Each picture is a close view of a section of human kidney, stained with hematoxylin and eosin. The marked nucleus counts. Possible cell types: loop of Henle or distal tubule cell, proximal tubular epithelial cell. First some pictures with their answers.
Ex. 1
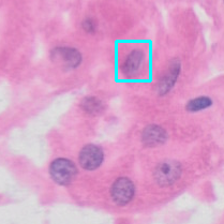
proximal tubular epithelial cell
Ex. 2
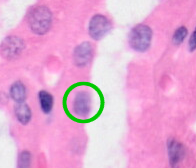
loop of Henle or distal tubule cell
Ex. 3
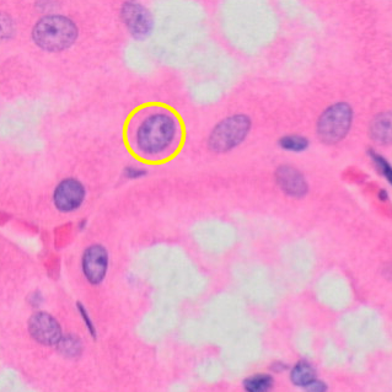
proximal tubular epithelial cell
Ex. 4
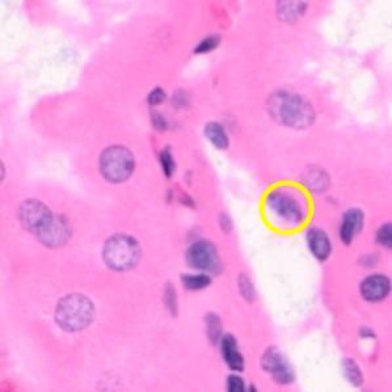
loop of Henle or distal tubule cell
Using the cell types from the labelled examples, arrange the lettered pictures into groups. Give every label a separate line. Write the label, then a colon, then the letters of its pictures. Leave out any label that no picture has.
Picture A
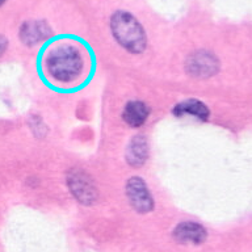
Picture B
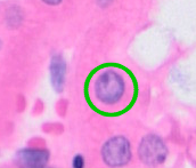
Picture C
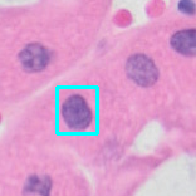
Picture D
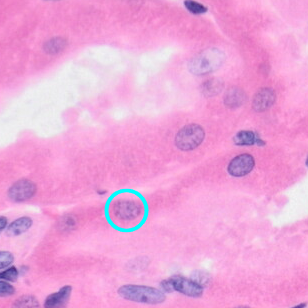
loop of Henle or distal tubule cell: A
proximal tubular epithelial cell: B, C, D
